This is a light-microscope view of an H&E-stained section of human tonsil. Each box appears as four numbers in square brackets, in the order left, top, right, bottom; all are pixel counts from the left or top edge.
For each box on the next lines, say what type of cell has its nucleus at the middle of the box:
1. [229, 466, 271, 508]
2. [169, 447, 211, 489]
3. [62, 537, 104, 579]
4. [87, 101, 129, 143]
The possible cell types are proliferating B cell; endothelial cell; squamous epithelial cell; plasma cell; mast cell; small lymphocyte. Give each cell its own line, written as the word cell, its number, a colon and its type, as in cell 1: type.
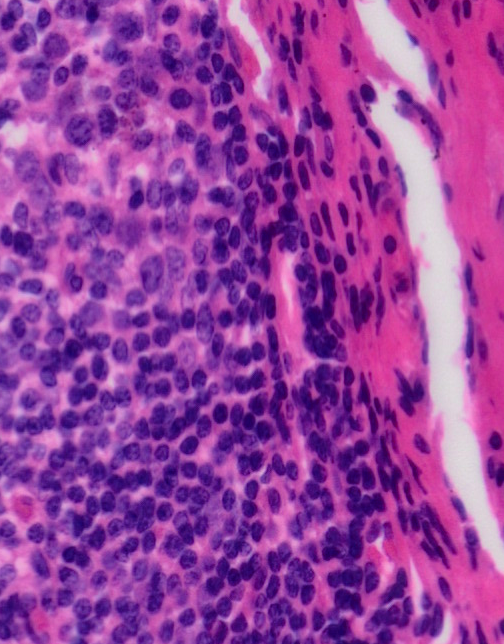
cell 1: small lymphocyte
cell 2: small lymphocyte
cell 3: small lymphocyte
cell 4: proliferating B cell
